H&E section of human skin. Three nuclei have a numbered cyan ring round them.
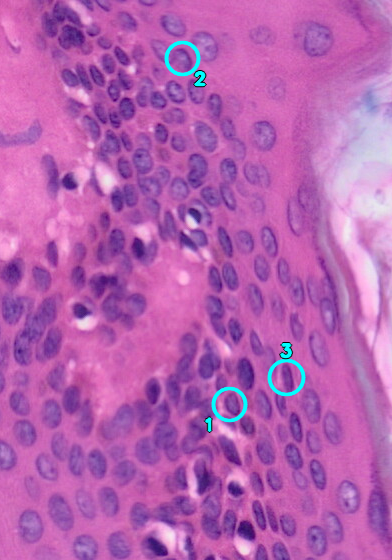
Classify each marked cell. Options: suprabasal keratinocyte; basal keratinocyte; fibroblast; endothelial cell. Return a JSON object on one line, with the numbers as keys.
{"1": "basal keratinocyte", "2": "suprabasal keratinocyte", "3": "suprabasal keratinocyte"}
